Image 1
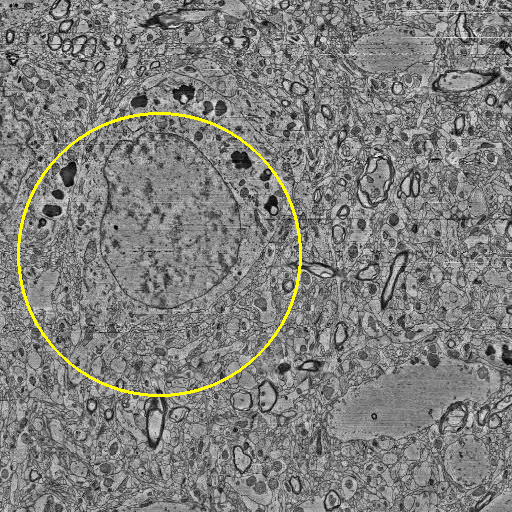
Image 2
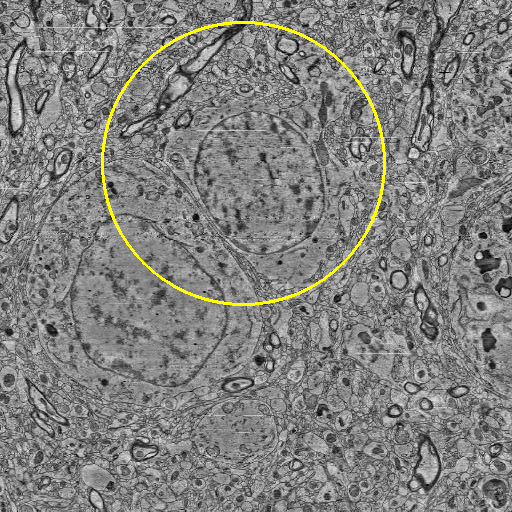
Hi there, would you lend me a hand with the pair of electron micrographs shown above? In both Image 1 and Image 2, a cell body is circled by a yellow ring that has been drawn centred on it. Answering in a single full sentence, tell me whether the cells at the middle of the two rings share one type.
No, the ringed cells in Image 1 and Image 2 belong to two types.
